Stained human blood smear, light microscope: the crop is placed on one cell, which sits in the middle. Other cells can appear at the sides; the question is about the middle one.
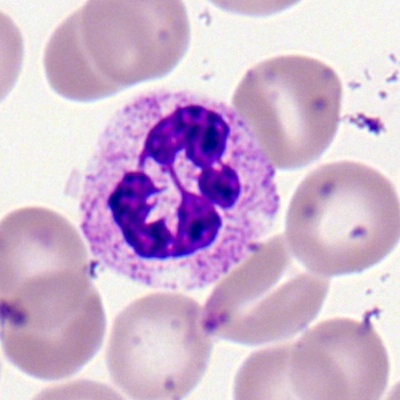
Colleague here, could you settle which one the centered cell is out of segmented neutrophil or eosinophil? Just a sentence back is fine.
The cell nearest the centre of this crop is a segmented neutrophil.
